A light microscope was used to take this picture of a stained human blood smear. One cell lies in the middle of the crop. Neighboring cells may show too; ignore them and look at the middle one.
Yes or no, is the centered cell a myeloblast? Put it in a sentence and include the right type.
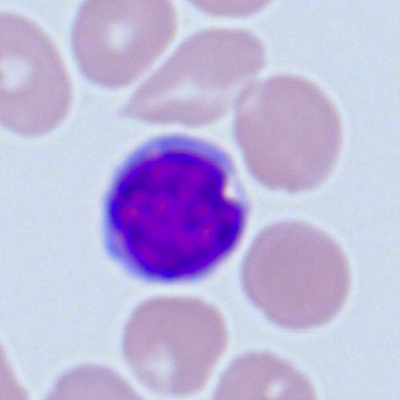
No, the cell in the centre is to be called a lymphocyte instead of a myeloblast.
